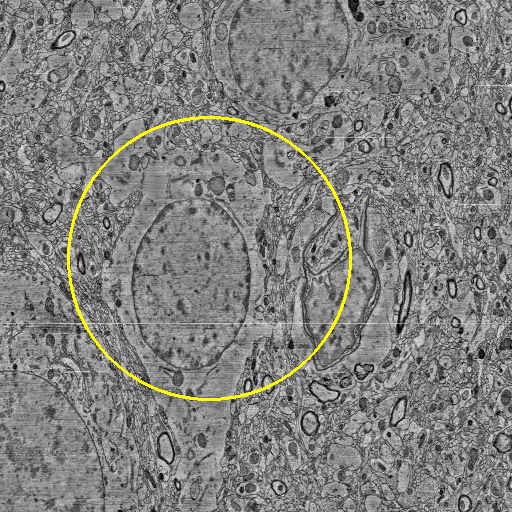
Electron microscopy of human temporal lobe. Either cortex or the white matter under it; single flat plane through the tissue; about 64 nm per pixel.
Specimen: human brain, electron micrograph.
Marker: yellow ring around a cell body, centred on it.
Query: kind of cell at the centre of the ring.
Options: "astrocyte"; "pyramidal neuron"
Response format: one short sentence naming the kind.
This cell body belongs to an astrocyte.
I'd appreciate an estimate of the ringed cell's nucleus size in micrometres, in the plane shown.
The ringed cell's nucleus measures approximately 11 by 8 micrometres in this plane.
